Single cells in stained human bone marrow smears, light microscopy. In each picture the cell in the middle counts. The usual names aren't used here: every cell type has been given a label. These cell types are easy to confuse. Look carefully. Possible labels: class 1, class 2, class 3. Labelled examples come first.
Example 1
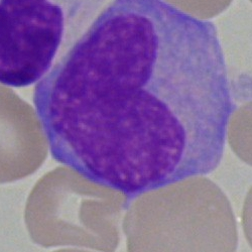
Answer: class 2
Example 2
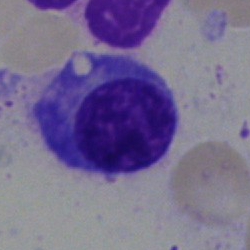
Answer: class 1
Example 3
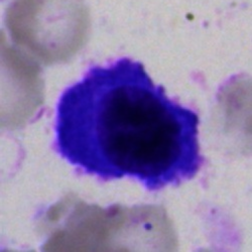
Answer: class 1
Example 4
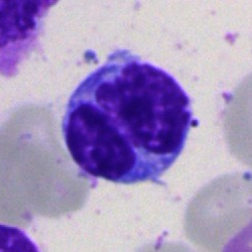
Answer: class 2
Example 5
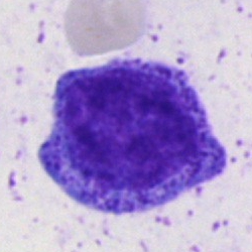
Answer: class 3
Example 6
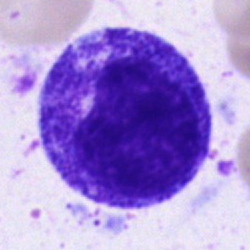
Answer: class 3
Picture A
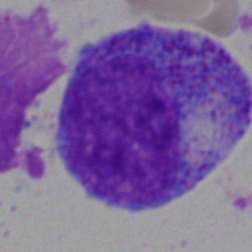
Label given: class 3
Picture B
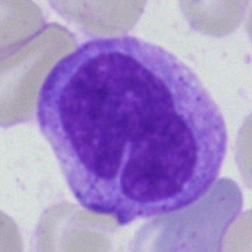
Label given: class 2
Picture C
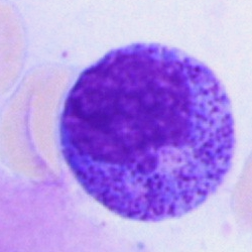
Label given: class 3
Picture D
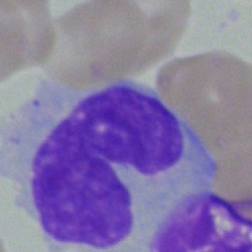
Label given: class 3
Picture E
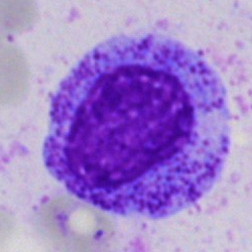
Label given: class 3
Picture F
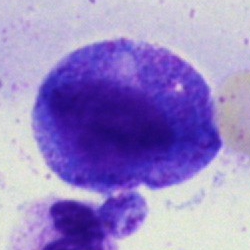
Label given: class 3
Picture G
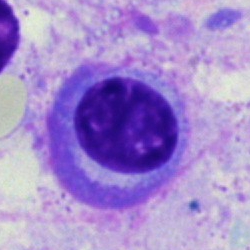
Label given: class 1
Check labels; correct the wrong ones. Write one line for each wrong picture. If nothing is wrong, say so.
D: change class 3 to class 2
